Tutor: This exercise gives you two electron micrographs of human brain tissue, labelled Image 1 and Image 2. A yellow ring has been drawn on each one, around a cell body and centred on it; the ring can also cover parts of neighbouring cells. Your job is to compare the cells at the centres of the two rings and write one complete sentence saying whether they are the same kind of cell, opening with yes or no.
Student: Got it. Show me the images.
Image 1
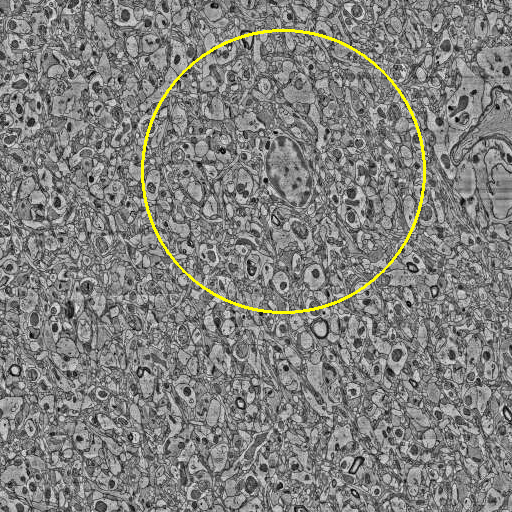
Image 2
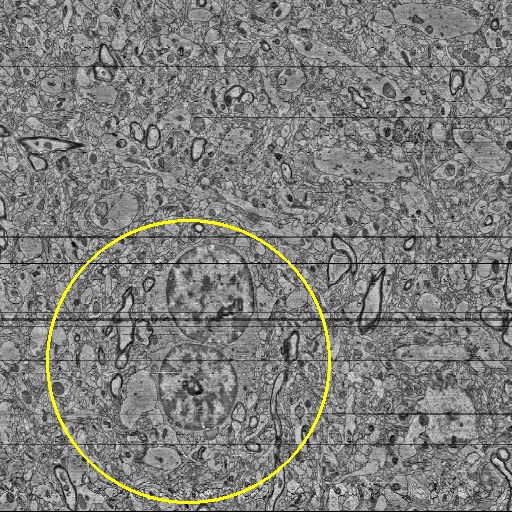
No, the two cells belong to two kinds.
